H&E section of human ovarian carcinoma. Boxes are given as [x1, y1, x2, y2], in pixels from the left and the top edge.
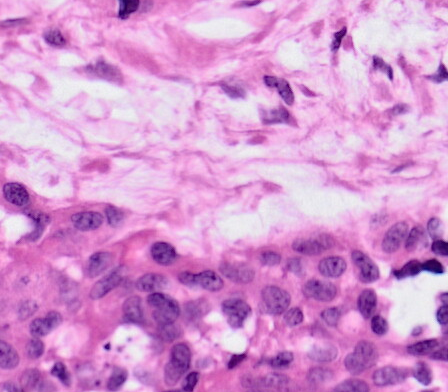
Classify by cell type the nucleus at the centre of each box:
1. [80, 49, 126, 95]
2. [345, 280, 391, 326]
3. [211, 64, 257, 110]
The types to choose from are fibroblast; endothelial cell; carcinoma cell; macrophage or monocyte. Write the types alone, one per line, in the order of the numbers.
fibroblast
carcinoma cell
fibroblast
